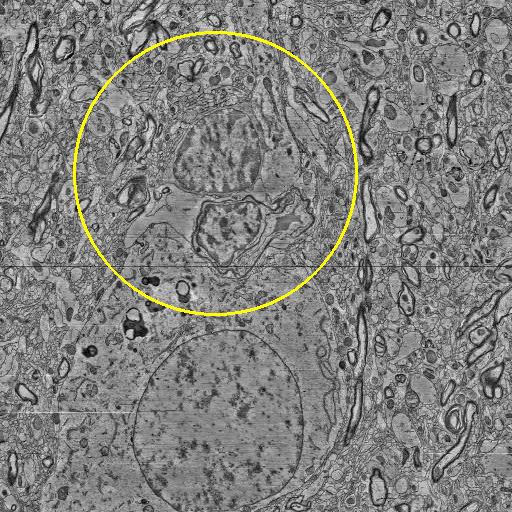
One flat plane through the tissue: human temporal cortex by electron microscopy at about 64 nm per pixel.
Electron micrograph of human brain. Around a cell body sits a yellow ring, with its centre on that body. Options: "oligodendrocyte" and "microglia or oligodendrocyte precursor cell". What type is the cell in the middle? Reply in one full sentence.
The cell sitting at the centre of the yellow ring is an oligodendrocyte.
